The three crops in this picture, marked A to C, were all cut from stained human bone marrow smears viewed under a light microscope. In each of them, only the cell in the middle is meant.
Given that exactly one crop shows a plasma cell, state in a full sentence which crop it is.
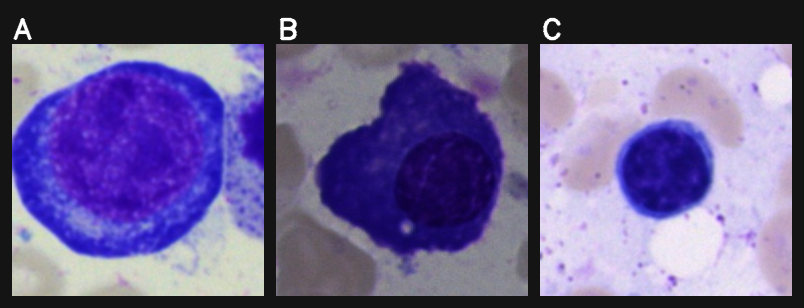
The crop carrying a plasma cell at the center is crop B.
